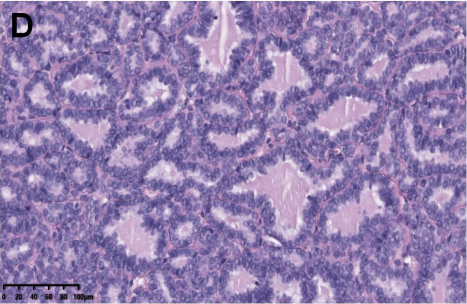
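The lumens are filled with pale pink material, some with angular, star-like outlines. Very little stroma lies between the tightly packed units.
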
